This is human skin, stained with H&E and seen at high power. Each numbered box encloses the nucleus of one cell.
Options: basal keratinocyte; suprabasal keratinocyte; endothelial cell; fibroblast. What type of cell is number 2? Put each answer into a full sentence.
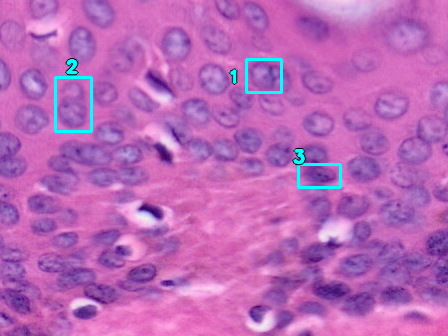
That cell with number 2 is a suprabasal keratinocyte.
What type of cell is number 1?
The cell assigned the number 1 is a suprabasal keratinocyte.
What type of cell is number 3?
Identified as a basal keratinocyte is the cell bearing the number 3.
